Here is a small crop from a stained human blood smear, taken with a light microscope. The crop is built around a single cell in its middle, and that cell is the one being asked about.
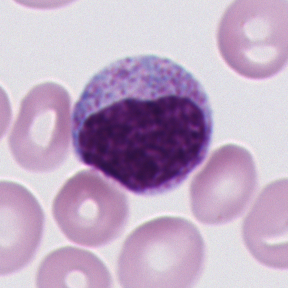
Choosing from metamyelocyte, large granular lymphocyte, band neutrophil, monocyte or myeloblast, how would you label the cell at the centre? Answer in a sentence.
The identification for the central cell is a metamyelocyte.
